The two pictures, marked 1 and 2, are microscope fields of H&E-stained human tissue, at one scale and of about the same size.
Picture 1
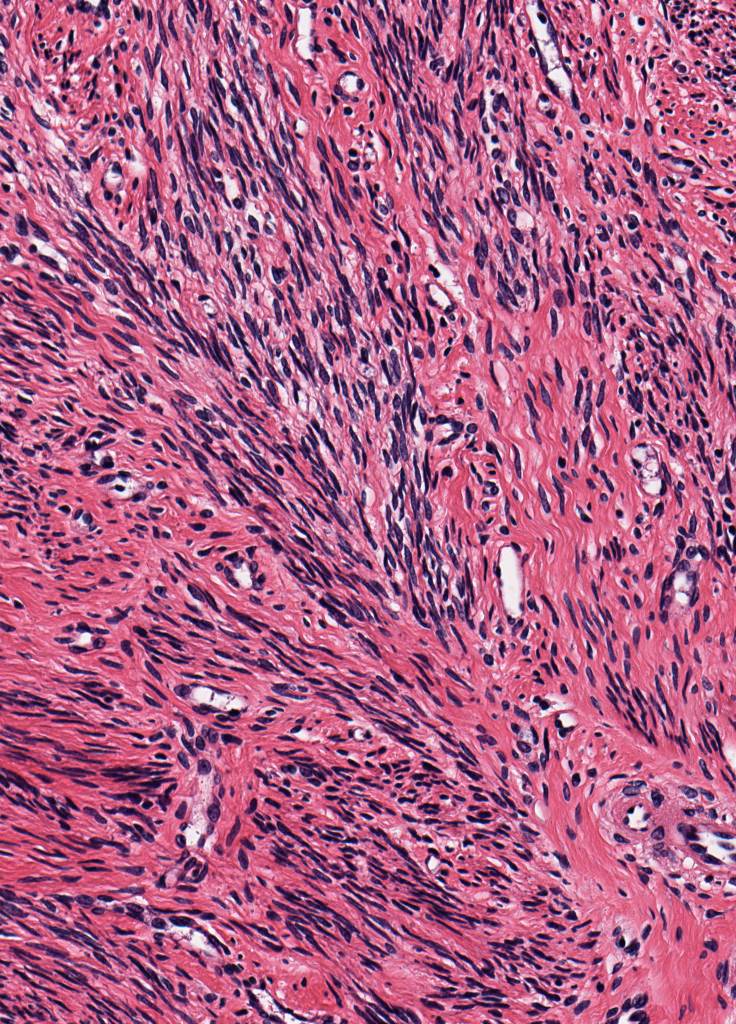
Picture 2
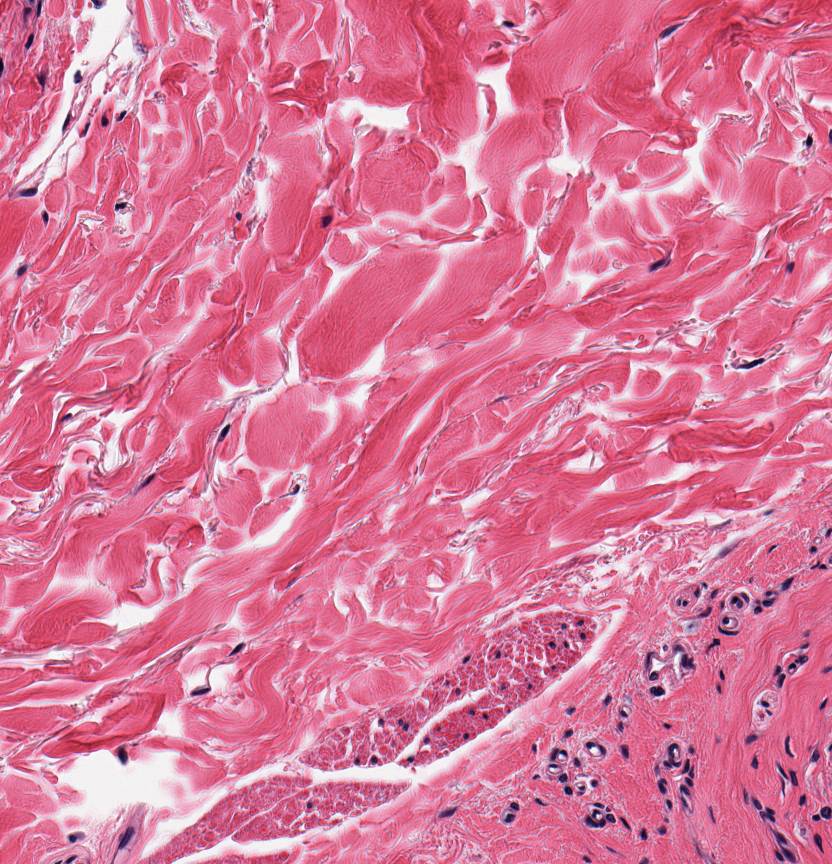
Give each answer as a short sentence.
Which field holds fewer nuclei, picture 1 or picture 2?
There are fewer nuclei in picture 2.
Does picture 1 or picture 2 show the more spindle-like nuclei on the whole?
The nuclei are more elongated in picture 1.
